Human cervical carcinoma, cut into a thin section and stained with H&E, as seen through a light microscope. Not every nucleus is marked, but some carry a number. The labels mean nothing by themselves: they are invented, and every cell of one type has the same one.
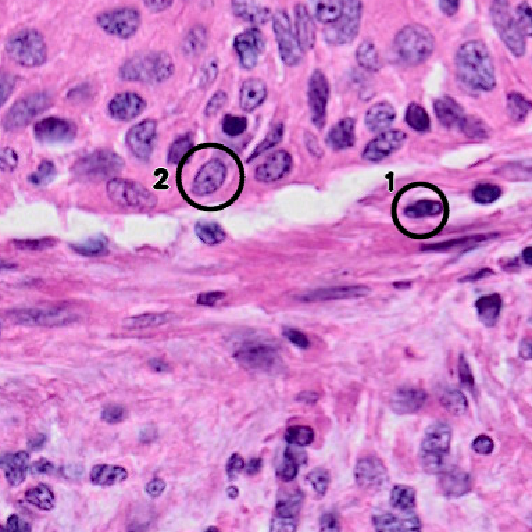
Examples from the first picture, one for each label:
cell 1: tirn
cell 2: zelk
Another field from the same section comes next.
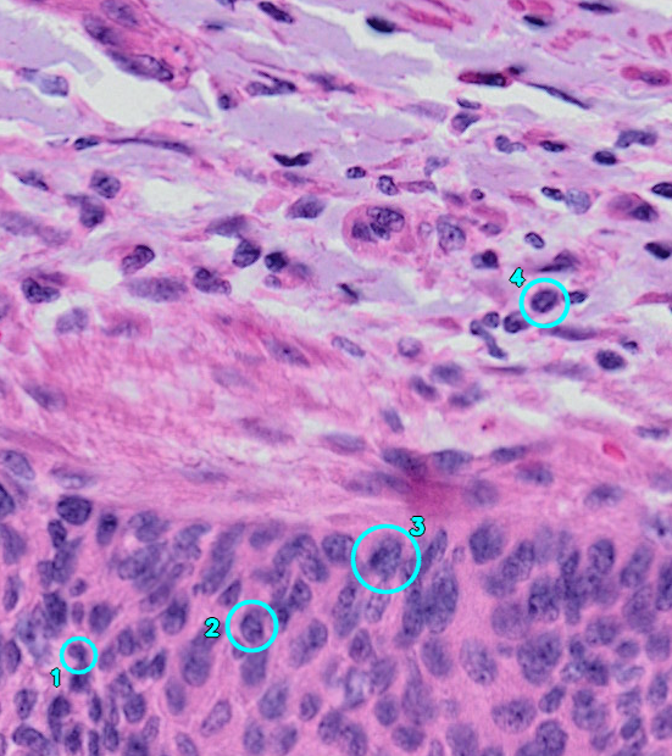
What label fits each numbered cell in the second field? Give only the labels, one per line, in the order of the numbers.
zelk
zelk
zelk
tirn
